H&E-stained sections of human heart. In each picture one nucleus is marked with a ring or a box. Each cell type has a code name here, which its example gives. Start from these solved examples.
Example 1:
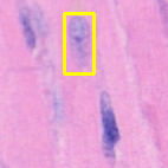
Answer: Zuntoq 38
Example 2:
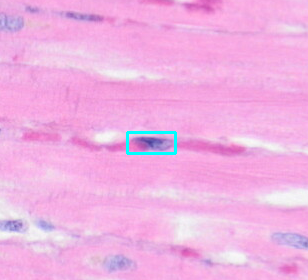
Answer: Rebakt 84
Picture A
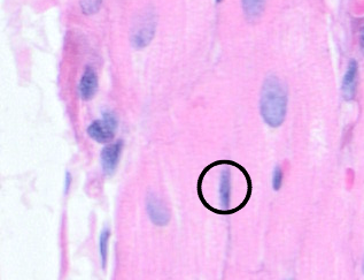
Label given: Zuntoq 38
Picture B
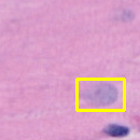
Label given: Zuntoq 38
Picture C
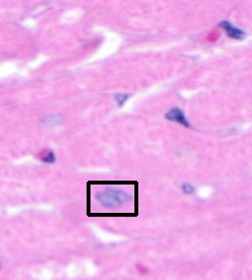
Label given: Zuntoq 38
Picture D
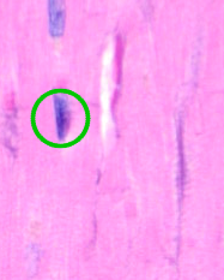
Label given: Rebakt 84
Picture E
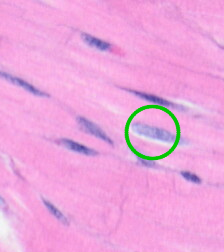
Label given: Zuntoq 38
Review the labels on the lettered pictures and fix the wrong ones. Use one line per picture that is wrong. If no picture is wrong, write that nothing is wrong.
Wrong: A (Zuntoq 38); correct: Rebakt 84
